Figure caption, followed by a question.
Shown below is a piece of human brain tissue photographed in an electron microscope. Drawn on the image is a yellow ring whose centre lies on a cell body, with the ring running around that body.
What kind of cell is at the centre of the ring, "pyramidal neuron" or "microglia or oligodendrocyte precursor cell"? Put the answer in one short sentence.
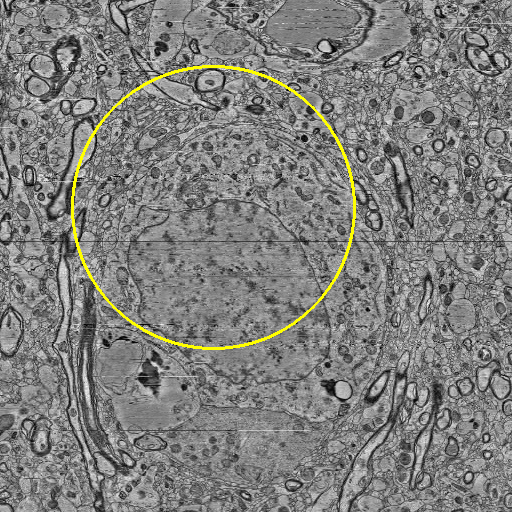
The ring marks the cell body of a pyramidal neuron.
